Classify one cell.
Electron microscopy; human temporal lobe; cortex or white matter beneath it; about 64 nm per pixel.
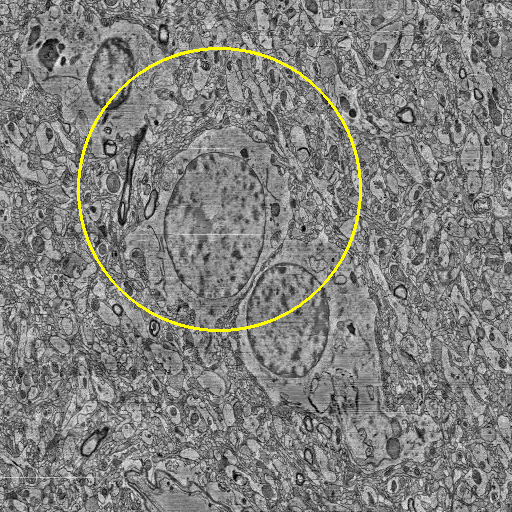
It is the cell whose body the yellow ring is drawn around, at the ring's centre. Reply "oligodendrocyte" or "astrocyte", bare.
astrocyte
